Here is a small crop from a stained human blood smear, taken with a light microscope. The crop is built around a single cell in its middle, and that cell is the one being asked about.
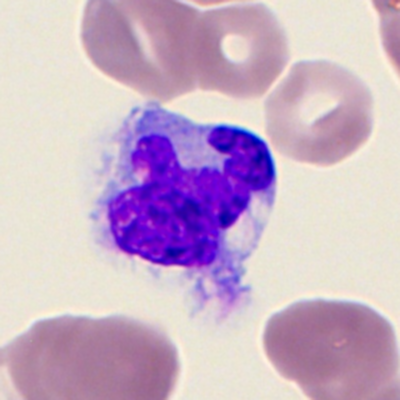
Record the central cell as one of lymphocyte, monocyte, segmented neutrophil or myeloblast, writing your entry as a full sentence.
In this crop, the cell at the very middle is a monocyte.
